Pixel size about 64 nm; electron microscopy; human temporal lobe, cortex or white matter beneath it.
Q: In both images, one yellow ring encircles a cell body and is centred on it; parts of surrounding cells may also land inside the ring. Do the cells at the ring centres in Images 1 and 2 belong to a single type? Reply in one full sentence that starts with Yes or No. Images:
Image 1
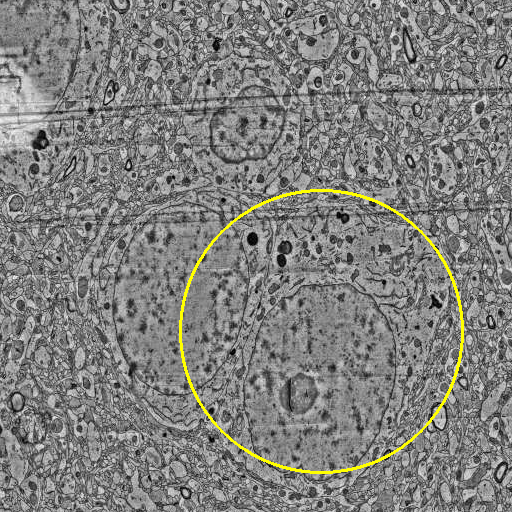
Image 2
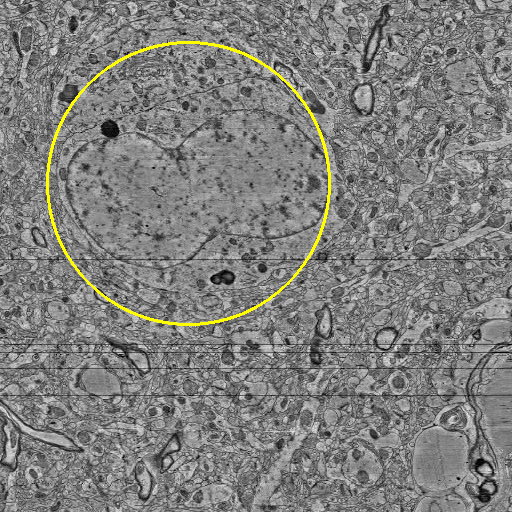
Yes, the cells at the ring centres in Images 1 and 2 are of a single type.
